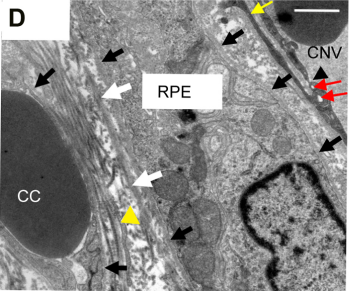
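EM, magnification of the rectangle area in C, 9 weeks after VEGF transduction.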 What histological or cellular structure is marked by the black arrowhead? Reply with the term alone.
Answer: Fenestration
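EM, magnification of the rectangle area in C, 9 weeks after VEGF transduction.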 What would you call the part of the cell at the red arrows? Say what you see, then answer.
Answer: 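The red arrows point at small round profiles within the thin vessel wall. On this evidence: pinocytotic vesicles.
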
